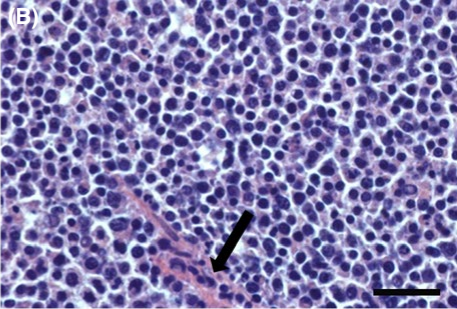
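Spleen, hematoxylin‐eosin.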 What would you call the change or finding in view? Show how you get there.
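Sheets of densely packed round cells fill the whole field. The nuclei are dark, round to irregular and vary in size. Little cytoplasm is seen around each nucleus.
Conclusion: diffuse infiltration of medium‐sized pleomorphic tumor cells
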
